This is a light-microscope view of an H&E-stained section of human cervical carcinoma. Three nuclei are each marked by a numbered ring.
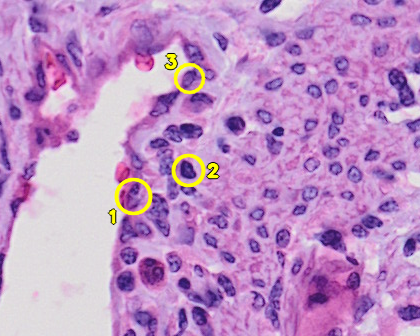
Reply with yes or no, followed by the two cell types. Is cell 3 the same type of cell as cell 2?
No, cell 3 is an endothelial cell, whereas a lymphocyte is what cell 2 is.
